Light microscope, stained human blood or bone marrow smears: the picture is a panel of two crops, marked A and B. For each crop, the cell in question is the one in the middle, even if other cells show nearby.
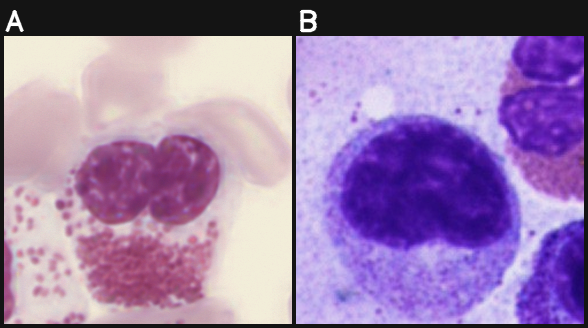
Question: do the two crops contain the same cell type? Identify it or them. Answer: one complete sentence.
No, crop A shows an eosinophil, whereas a myelocyte is what crop B shows.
